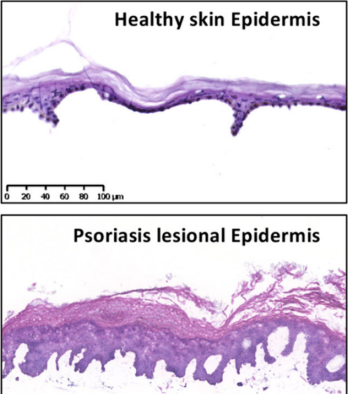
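Two sheets of stratified squamous epithelium lifted off the dermis are shown, their nuclei dark purple and the cornified layer pale pink to lilac on top. The upper sheet is thin, with a few layers of nucleated cells and only short downward projections along its base. The lower sheet is much thicker, with a dense layer of nucleated cells and many long, regularly spaced ridges hanging down from its underside, capped by a thick layered cornified surface.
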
